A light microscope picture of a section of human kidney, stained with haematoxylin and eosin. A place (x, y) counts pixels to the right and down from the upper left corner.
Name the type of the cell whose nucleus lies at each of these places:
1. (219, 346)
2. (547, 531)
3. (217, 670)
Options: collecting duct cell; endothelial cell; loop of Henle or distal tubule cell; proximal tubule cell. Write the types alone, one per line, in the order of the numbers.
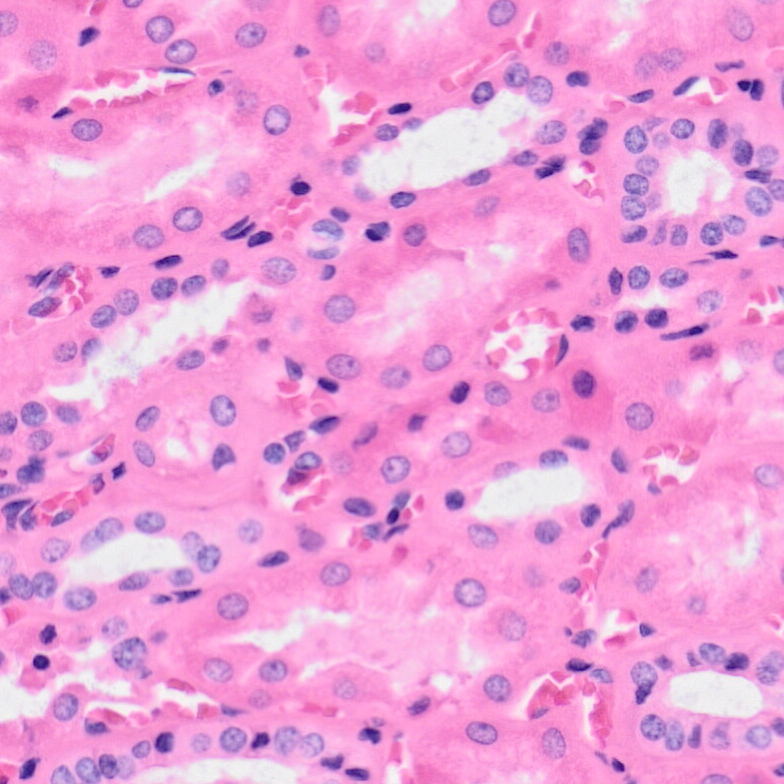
loop of Henle or distal tubule cell
loop of Henle or distal tubule cell
proximal tubule cell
